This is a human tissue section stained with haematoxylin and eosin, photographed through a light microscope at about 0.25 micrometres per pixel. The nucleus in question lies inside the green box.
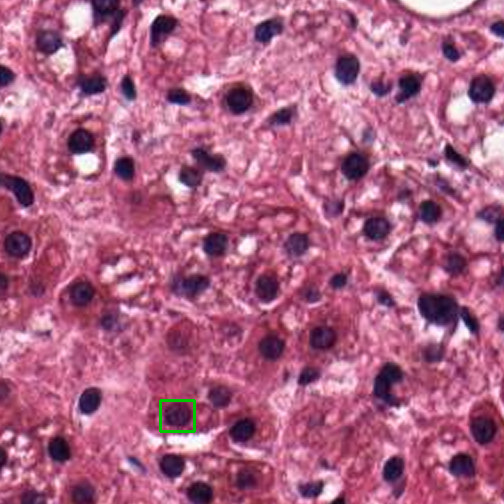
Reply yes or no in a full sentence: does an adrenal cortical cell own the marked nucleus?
Yes, the marked nucleus is the nucleus of an adrenal cortical cell.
